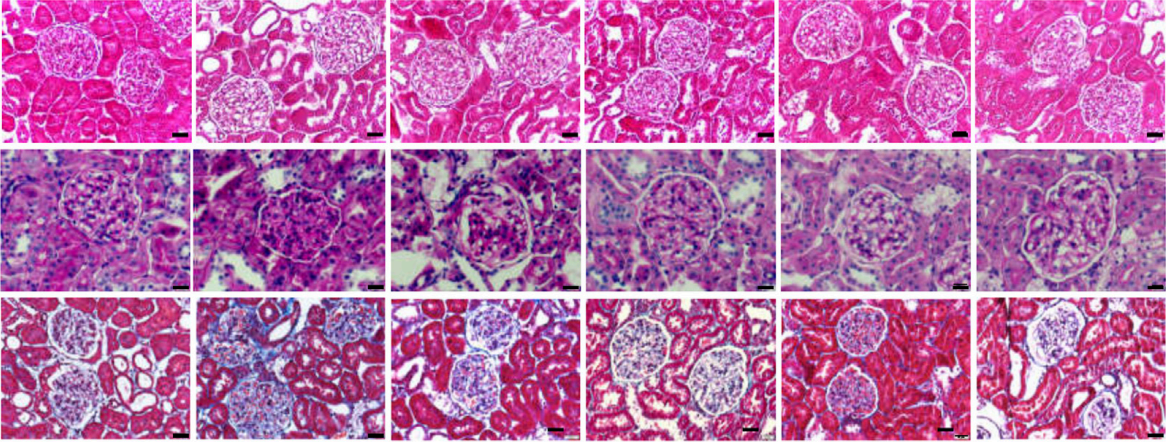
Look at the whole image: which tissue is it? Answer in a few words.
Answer: Kidney.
